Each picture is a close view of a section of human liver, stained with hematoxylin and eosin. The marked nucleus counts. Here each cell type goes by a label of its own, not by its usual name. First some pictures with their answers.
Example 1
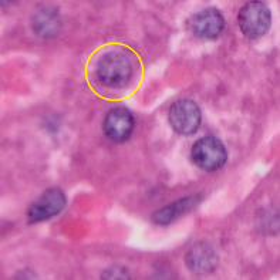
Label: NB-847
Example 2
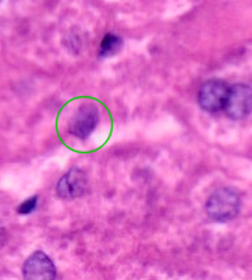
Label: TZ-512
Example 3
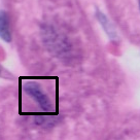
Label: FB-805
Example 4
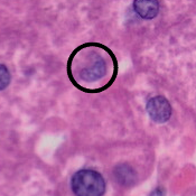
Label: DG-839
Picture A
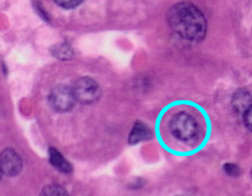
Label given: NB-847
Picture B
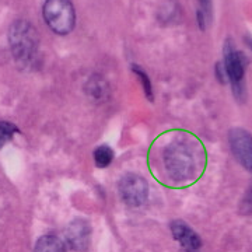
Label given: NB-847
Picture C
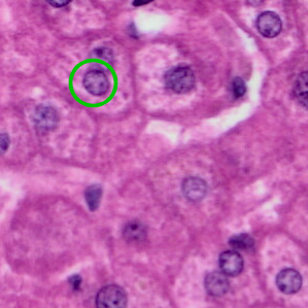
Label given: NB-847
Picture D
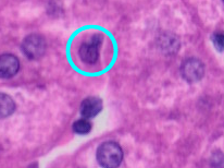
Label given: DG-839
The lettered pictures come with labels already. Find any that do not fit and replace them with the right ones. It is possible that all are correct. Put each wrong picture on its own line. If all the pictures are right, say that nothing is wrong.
Every label is right.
